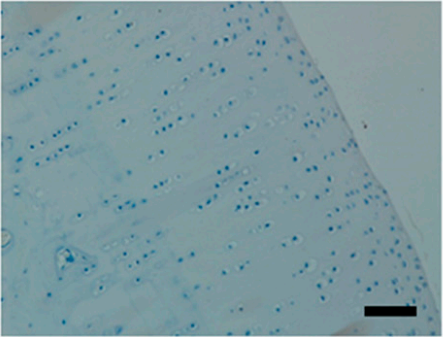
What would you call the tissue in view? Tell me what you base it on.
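Rounded cells sit singly and in small groups within lacunae. A pale, homogeneous, cell-poor matrix fills the space between cells. Cells are arranged in rough rows.
Hence: cartilage.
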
